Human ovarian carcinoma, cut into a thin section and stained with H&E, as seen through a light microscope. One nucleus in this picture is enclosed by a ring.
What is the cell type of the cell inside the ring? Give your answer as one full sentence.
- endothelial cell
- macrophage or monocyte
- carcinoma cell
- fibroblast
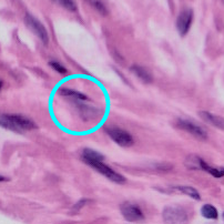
The cell inside the ring is a fibroblast.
